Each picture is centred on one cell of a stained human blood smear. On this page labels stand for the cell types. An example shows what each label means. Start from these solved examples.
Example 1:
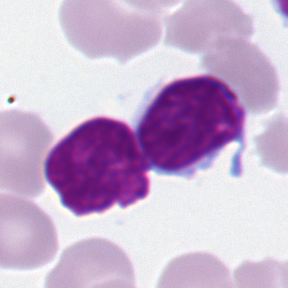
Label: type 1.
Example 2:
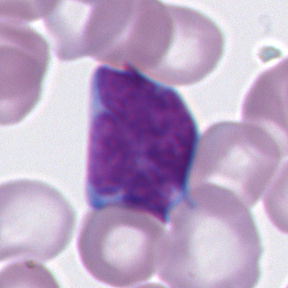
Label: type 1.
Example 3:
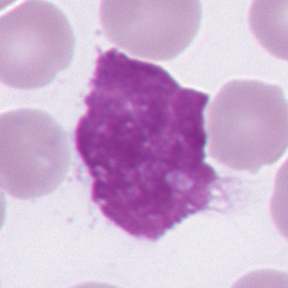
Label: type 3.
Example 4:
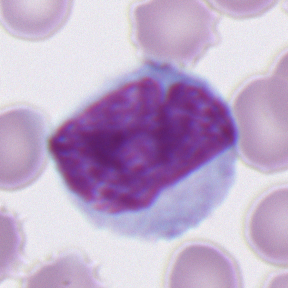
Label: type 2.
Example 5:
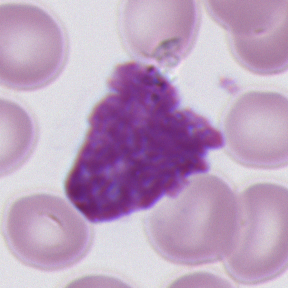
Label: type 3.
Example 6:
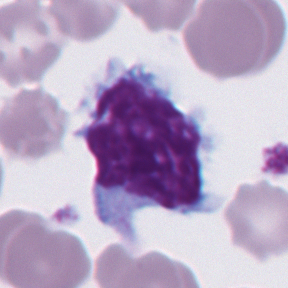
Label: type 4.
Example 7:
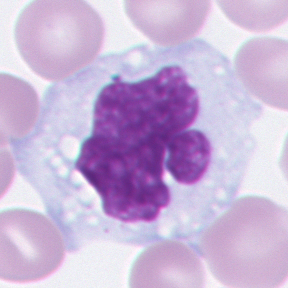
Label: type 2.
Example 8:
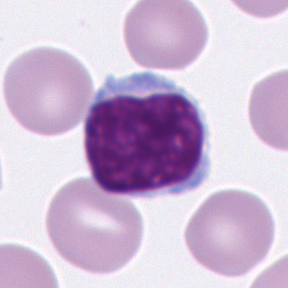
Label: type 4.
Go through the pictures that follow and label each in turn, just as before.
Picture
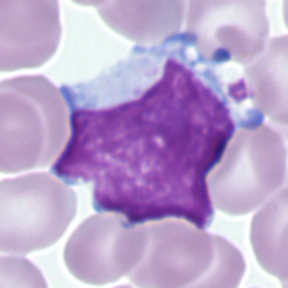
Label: type 2.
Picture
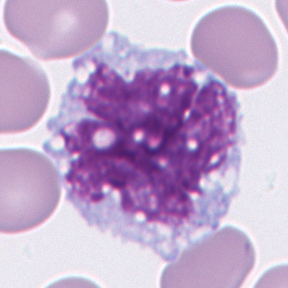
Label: type 2.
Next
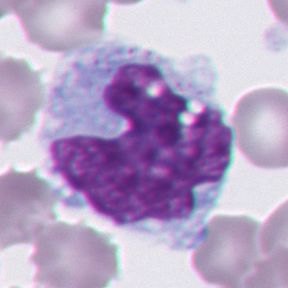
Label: type 2.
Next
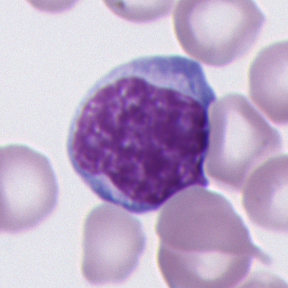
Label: type 1.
